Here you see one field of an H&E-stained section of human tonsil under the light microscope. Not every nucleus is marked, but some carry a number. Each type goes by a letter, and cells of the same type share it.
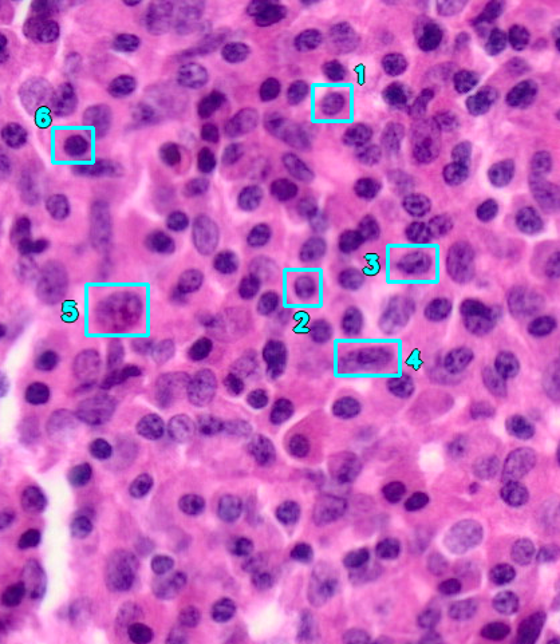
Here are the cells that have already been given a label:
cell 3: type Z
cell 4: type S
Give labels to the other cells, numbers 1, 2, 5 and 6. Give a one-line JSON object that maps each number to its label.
{"1": "type Z", "2": "type Z", "5": "type S", "6": "type Z"}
